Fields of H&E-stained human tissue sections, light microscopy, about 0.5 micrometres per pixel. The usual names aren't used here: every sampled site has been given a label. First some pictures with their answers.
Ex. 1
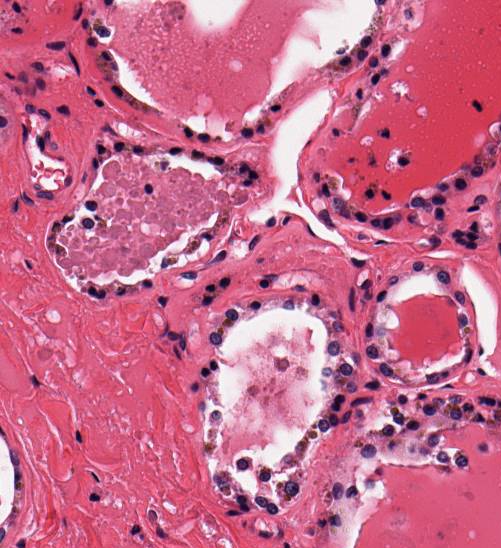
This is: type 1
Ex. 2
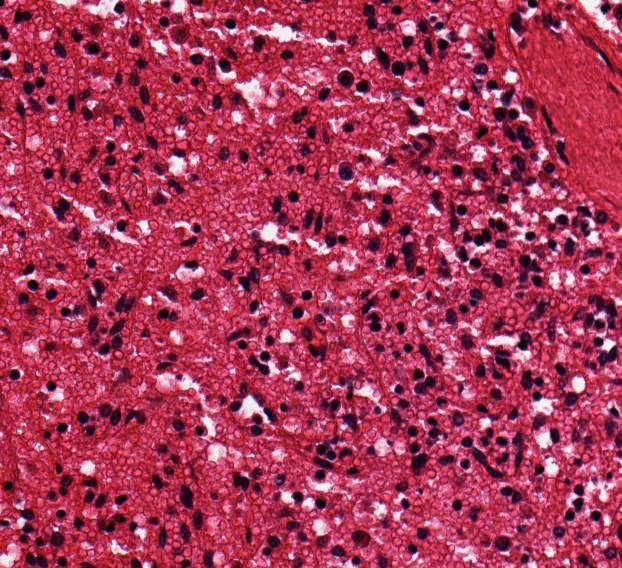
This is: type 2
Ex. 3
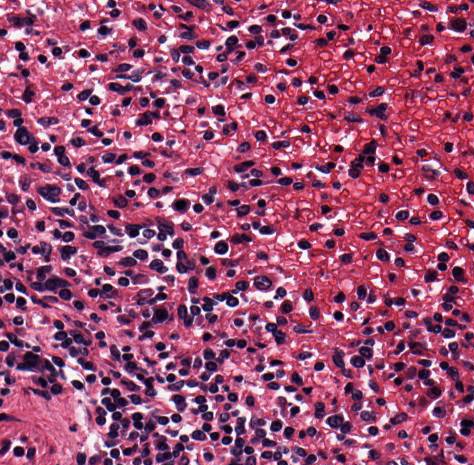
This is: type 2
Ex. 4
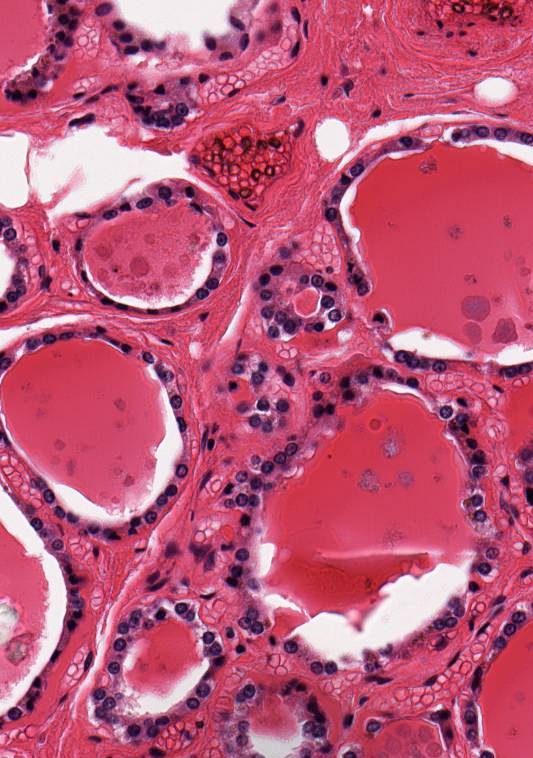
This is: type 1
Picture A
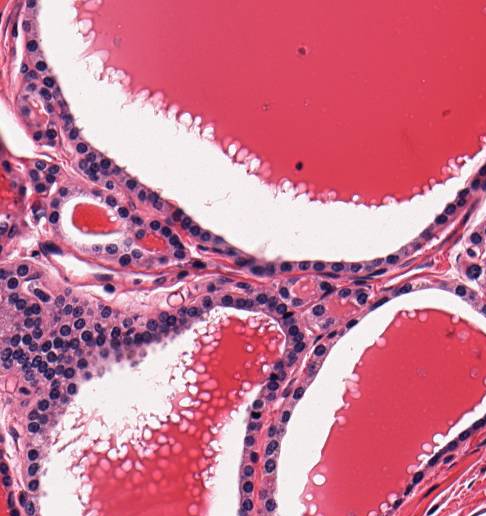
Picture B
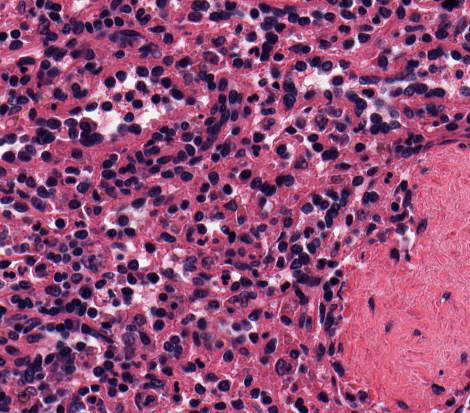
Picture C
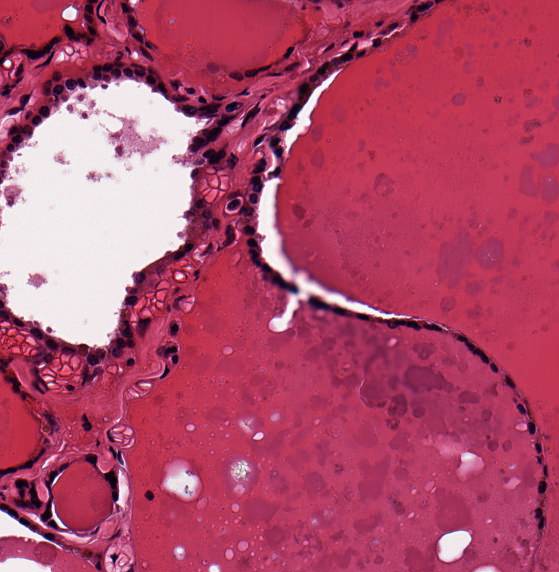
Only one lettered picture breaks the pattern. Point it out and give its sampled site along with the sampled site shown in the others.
B differs and shows type 2; the others show type 1.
